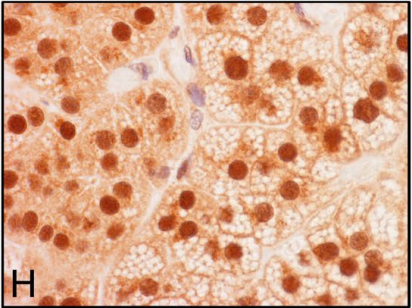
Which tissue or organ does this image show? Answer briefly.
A: Adrenal cortex.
